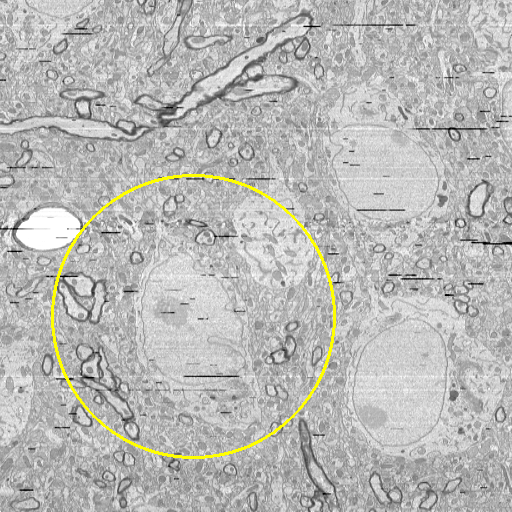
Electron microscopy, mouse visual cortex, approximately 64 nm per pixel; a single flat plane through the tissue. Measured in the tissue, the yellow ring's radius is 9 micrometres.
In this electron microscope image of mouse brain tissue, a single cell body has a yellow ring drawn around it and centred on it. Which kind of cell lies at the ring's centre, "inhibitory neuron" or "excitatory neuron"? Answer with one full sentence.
It is an inhibitory neuron whose cell body lies at the centre of the yellow ring here.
